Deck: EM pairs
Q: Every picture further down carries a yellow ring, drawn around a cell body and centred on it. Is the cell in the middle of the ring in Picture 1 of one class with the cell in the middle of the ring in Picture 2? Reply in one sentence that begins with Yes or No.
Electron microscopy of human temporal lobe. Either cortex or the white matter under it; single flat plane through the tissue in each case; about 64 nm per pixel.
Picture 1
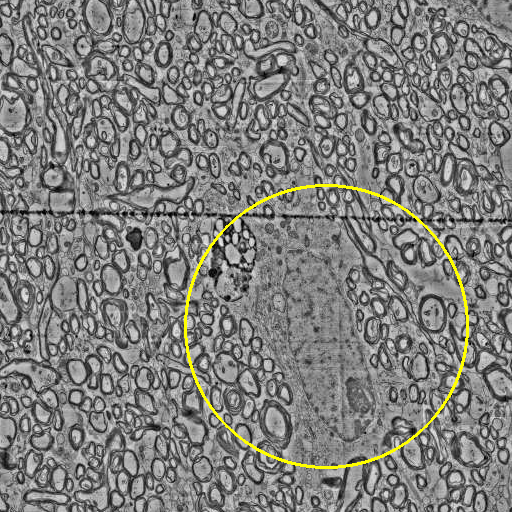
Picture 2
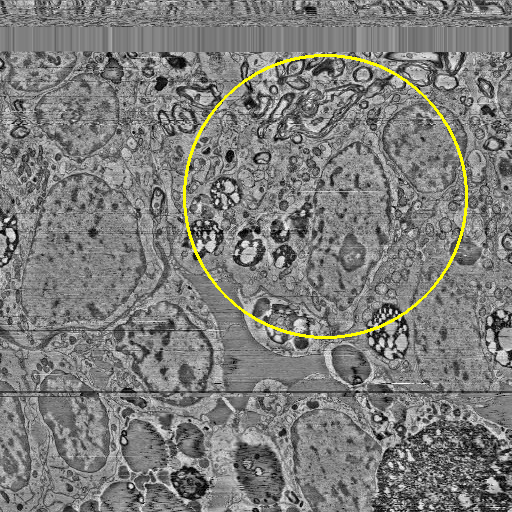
Yes, the cell centred in the ring of Picture 1 and the one in Picture 2 belong to one class.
